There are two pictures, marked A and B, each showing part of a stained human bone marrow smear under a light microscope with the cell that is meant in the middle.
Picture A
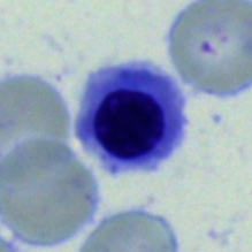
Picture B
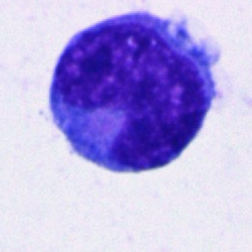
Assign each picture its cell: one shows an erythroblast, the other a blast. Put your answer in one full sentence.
Picture B shows a blast, while picture A shows an erythroblast.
